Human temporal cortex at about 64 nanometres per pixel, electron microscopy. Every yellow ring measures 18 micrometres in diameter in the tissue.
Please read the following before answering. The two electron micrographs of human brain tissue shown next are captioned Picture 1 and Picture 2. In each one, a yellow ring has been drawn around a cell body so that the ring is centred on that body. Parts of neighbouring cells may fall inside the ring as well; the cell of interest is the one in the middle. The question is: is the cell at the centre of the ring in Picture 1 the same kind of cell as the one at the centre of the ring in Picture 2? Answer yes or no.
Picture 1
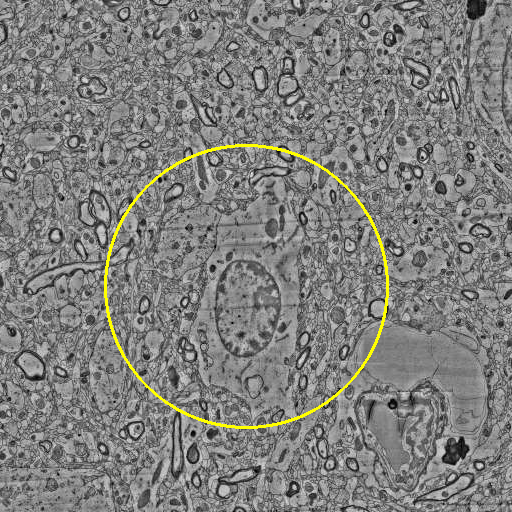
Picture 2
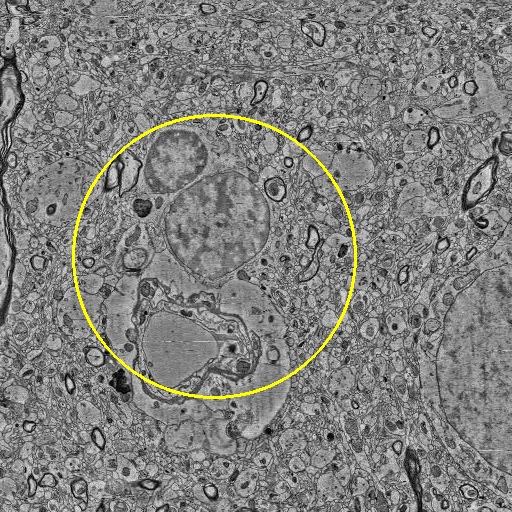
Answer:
no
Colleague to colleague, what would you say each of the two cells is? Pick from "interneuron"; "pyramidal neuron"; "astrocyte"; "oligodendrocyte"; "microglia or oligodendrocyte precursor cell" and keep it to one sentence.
The cell in the first picture is an astrocyte; the second picture's cell is an oligodendrocyte.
